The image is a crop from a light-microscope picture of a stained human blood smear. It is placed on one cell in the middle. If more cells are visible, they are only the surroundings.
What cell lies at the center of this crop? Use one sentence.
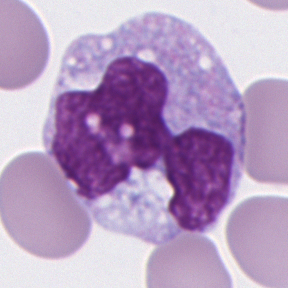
At the crop's centre, the cell is a monocyte.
